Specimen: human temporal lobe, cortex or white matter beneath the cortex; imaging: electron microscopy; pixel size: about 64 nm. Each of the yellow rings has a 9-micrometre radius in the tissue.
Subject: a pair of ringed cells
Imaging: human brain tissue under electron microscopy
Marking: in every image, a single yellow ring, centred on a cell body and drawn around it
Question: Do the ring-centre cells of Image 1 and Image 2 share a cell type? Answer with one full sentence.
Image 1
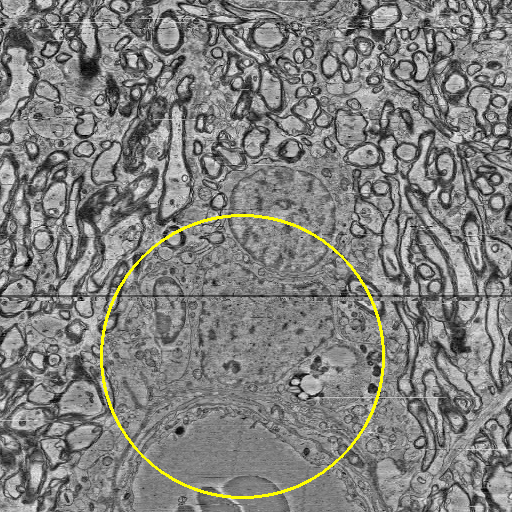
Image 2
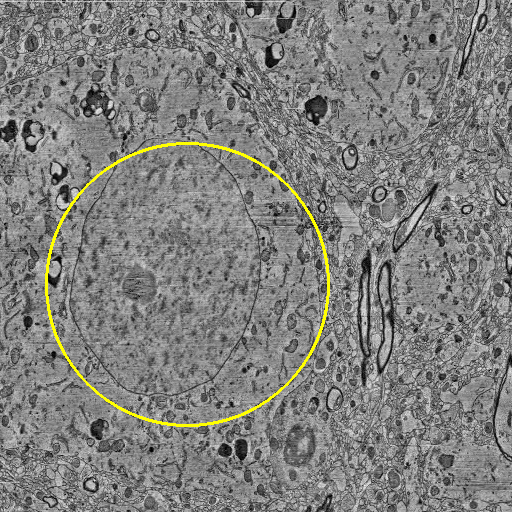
No, at the ring centres in the images sit cells of two separate types.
